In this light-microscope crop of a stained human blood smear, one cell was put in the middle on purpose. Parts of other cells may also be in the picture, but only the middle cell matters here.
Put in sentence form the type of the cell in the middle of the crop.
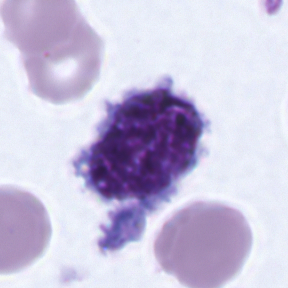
The cell at the middle of the frame should be recorded as a plasma cell.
